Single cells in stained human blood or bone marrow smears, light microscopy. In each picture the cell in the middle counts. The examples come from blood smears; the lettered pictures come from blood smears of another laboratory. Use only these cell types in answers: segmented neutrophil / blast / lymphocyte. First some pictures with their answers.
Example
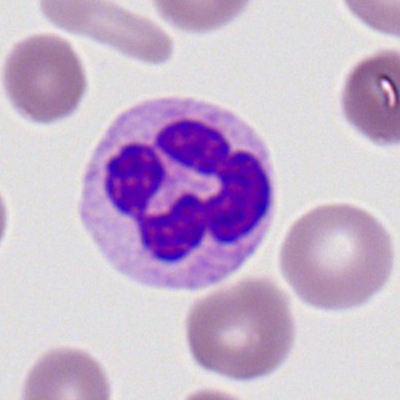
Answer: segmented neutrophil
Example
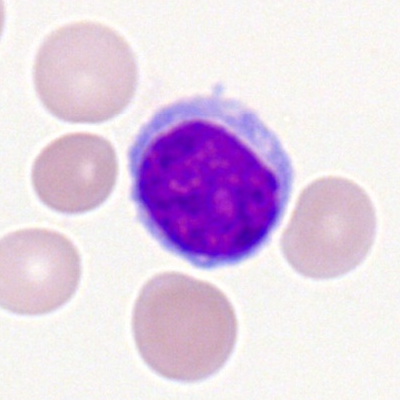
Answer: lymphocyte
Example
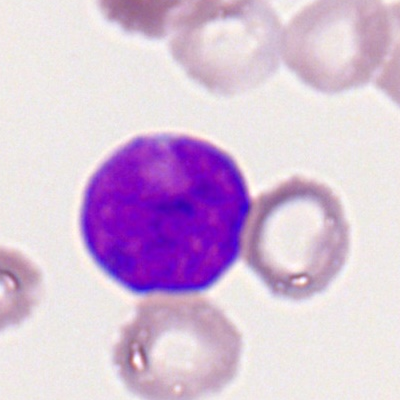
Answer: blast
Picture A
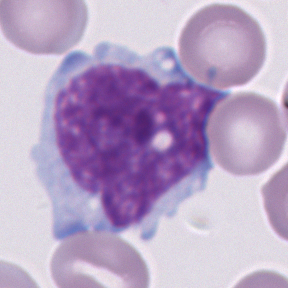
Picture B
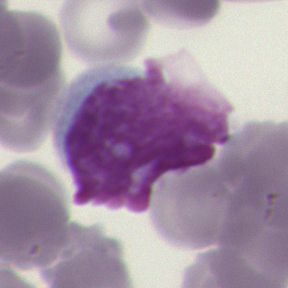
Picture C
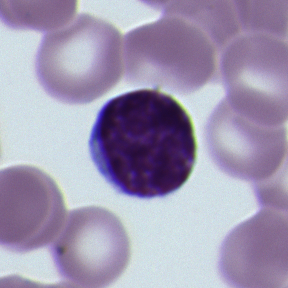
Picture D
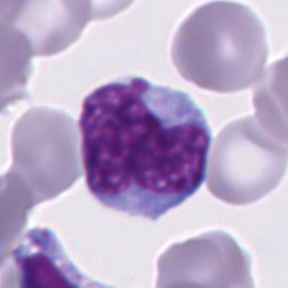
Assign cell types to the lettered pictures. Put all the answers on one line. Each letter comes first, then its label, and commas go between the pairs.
A blast, B lymphocyte, C lymphocyte, D lymphocyte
